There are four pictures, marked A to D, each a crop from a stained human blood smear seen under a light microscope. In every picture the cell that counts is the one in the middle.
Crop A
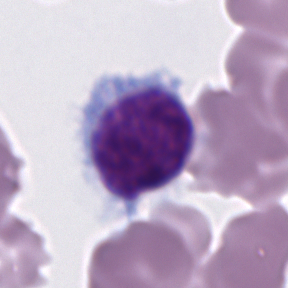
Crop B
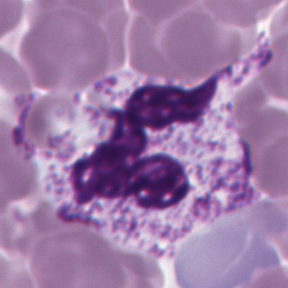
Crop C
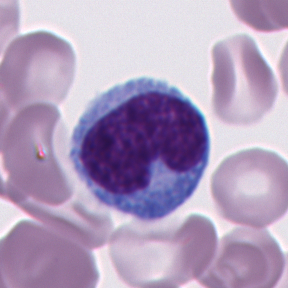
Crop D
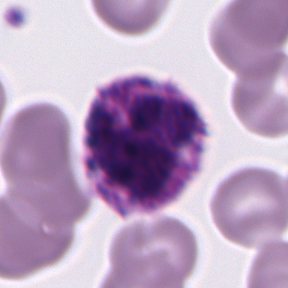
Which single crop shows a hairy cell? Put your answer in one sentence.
It is crop A, not any other, that shows a hairy cell.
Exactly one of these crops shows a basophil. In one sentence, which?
The requested cell, a basophil, is the one in crop D.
